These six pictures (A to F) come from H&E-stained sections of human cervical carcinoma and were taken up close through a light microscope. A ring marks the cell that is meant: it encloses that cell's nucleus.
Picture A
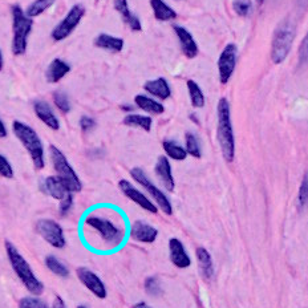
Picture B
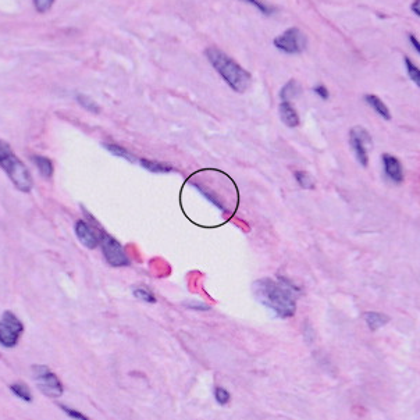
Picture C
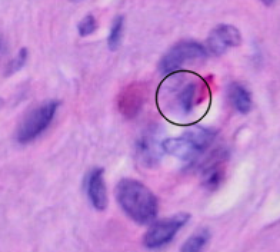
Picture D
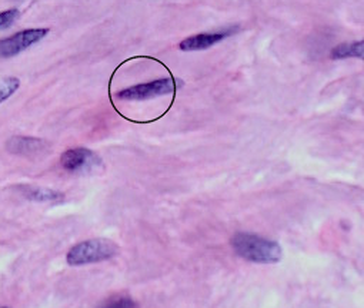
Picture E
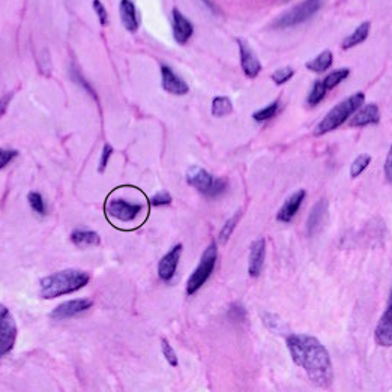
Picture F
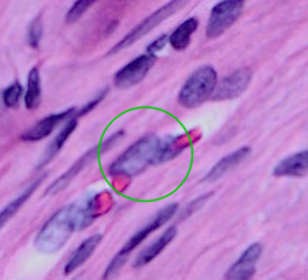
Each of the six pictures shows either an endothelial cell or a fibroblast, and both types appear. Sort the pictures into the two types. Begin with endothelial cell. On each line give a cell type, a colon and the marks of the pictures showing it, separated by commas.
endothelial cell: B, C, F
fibroblast: A, D, E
